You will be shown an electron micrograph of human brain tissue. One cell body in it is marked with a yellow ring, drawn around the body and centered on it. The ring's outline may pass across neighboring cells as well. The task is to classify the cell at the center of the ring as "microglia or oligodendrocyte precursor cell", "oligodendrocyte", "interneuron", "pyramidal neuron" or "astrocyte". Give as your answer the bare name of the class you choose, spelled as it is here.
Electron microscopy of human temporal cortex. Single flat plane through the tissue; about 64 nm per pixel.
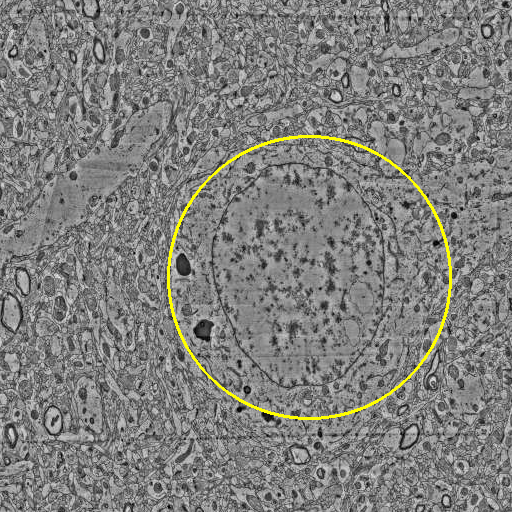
pyramidal neuron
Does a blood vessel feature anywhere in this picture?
No, the picture includes no blood vessel.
